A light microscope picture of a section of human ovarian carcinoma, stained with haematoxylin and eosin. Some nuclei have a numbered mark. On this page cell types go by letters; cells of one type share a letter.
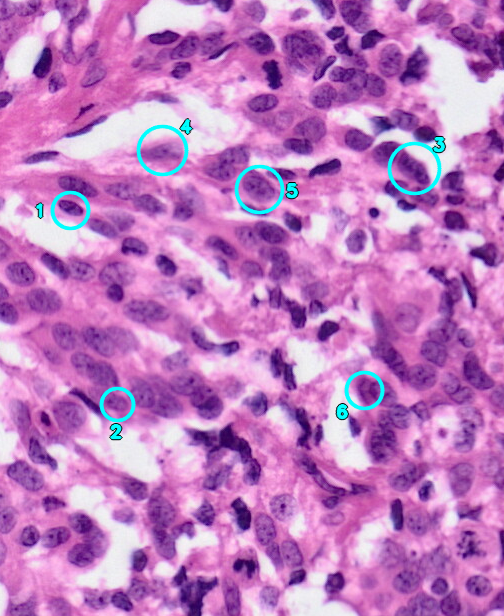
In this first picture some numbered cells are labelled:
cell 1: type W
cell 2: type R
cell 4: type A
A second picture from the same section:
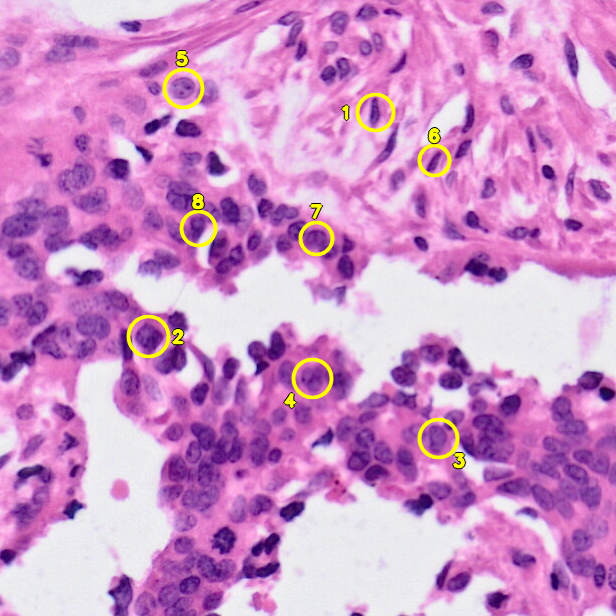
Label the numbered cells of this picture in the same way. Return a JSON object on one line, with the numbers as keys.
{"1": "type A", "2": "type R", "3": "type R", "4": "type R", "5": "type W", "6": "type A", "7": "type R", "8": "type R"}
